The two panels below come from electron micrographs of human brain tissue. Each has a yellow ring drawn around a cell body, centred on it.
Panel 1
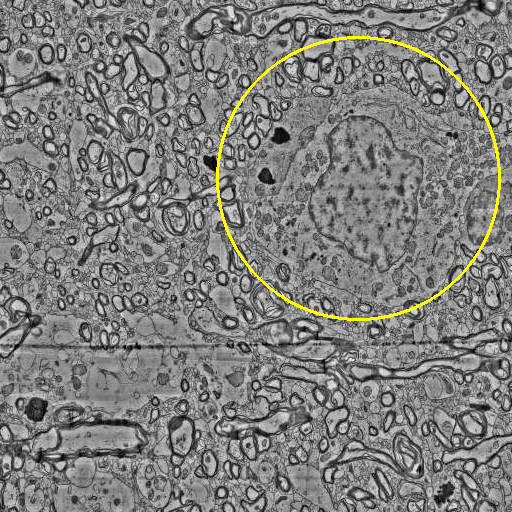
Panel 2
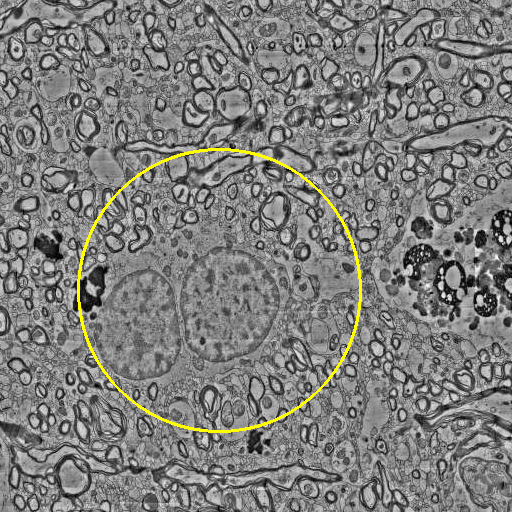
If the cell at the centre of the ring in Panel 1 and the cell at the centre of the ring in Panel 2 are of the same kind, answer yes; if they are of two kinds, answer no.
no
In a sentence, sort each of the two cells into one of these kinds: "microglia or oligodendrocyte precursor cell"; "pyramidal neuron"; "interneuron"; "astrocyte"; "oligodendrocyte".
The first of the two cells is an interneuron, and the second is an oligodendrocyte.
